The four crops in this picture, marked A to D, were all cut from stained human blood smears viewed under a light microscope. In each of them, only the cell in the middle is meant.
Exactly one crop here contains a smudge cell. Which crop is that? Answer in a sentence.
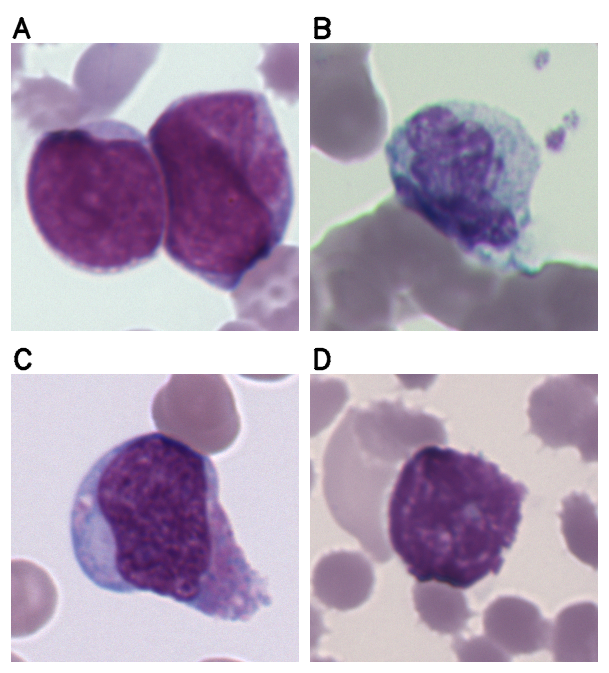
Of the labelled crops, the one that shows a smudge cell is crop D.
